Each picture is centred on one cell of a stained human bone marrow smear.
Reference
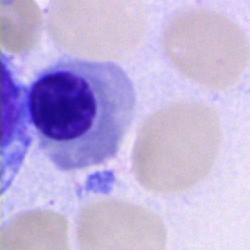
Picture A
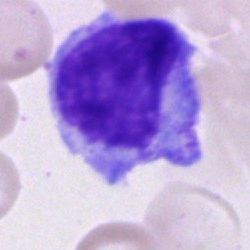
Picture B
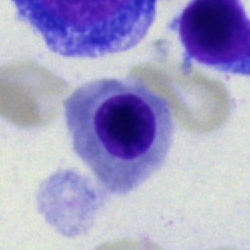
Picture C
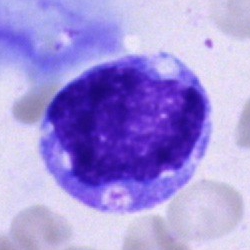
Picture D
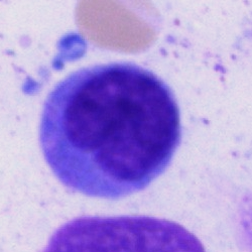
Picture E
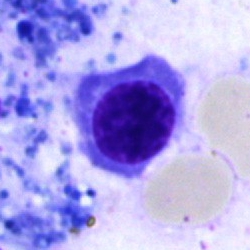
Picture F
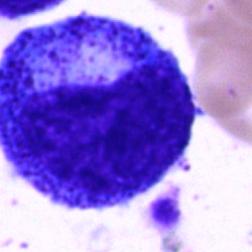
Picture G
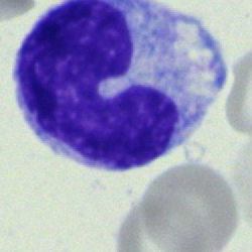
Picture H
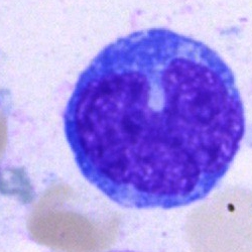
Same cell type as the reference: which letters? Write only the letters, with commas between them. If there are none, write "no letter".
B, E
